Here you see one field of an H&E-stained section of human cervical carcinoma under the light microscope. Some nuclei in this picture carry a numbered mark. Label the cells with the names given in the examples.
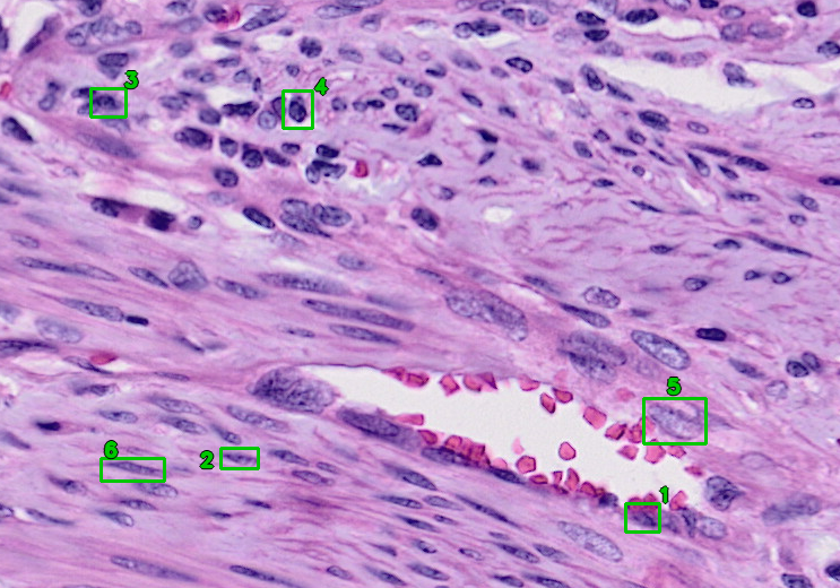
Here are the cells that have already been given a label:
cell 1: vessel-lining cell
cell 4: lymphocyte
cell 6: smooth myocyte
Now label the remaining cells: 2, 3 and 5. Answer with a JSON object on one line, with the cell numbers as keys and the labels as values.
{"2": "smooth myocyte", "3": "lymphocyte", "5": "vessel-lining cell"}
